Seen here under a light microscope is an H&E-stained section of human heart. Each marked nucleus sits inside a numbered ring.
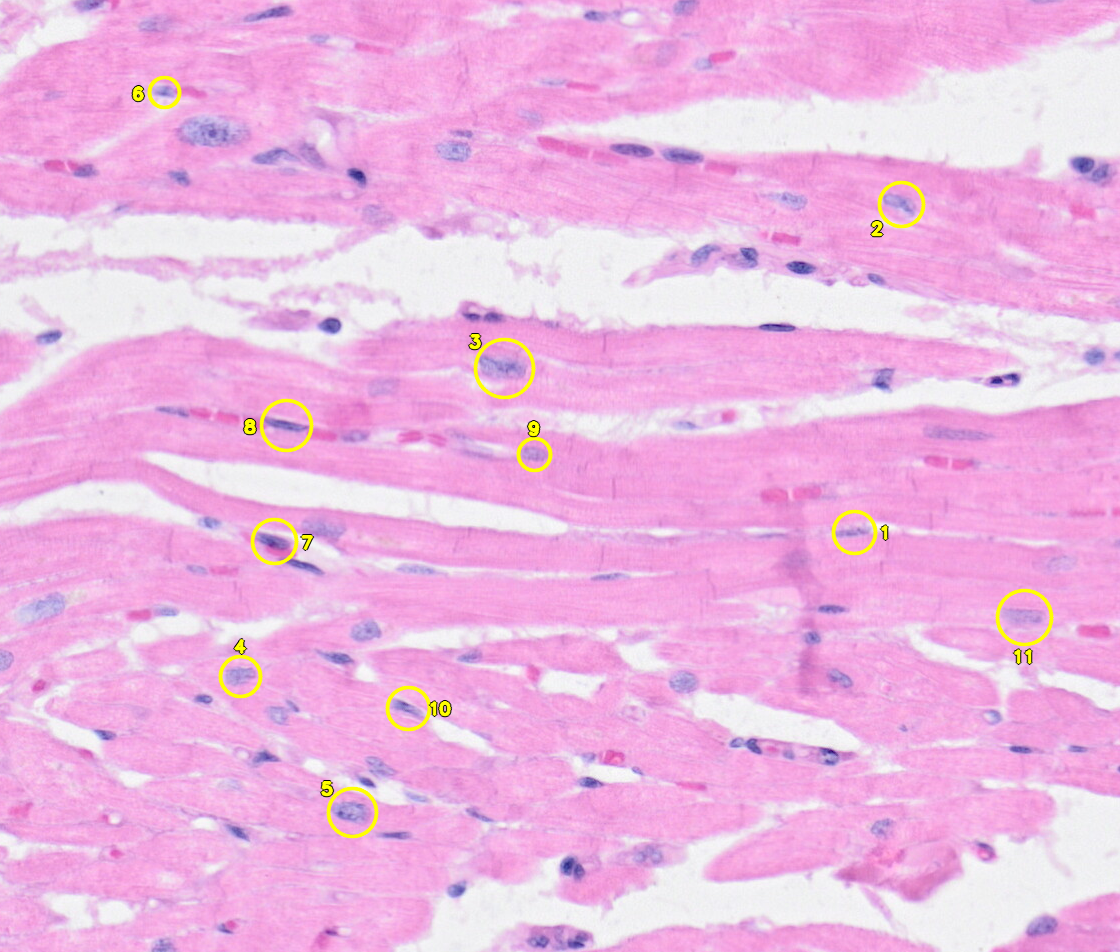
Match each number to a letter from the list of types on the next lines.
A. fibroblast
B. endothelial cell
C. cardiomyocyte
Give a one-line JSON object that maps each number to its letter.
{"1": "A", "2": "C", "3": "C", "4": "C", "5": "C", "6": "B", "7": "B", "8": "B", "9": "C", "10": "B", "11": "C"}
